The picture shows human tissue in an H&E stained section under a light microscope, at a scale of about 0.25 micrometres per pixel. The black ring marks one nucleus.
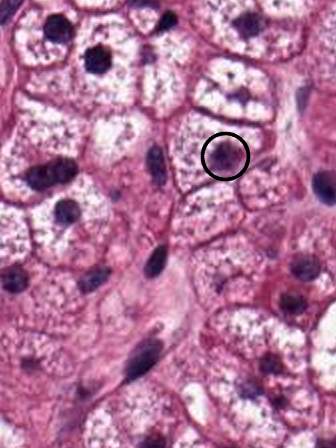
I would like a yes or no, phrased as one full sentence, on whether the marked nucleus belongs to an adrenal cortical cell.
Yes, the marked nucleus, in this picture, is that of an adrenal cortical cell.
